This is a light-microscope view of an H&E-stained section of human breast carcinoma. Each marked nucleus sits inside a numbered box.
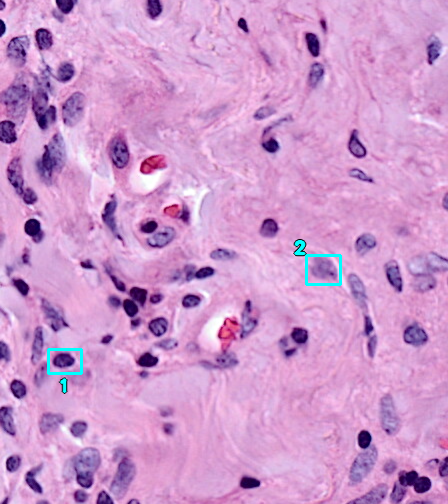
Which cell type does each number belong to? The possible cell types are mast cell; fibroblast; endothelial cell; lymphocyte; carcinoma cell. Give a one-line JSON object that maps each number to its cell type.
{"1": "lymphocyte", "2": "fibroblast"}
